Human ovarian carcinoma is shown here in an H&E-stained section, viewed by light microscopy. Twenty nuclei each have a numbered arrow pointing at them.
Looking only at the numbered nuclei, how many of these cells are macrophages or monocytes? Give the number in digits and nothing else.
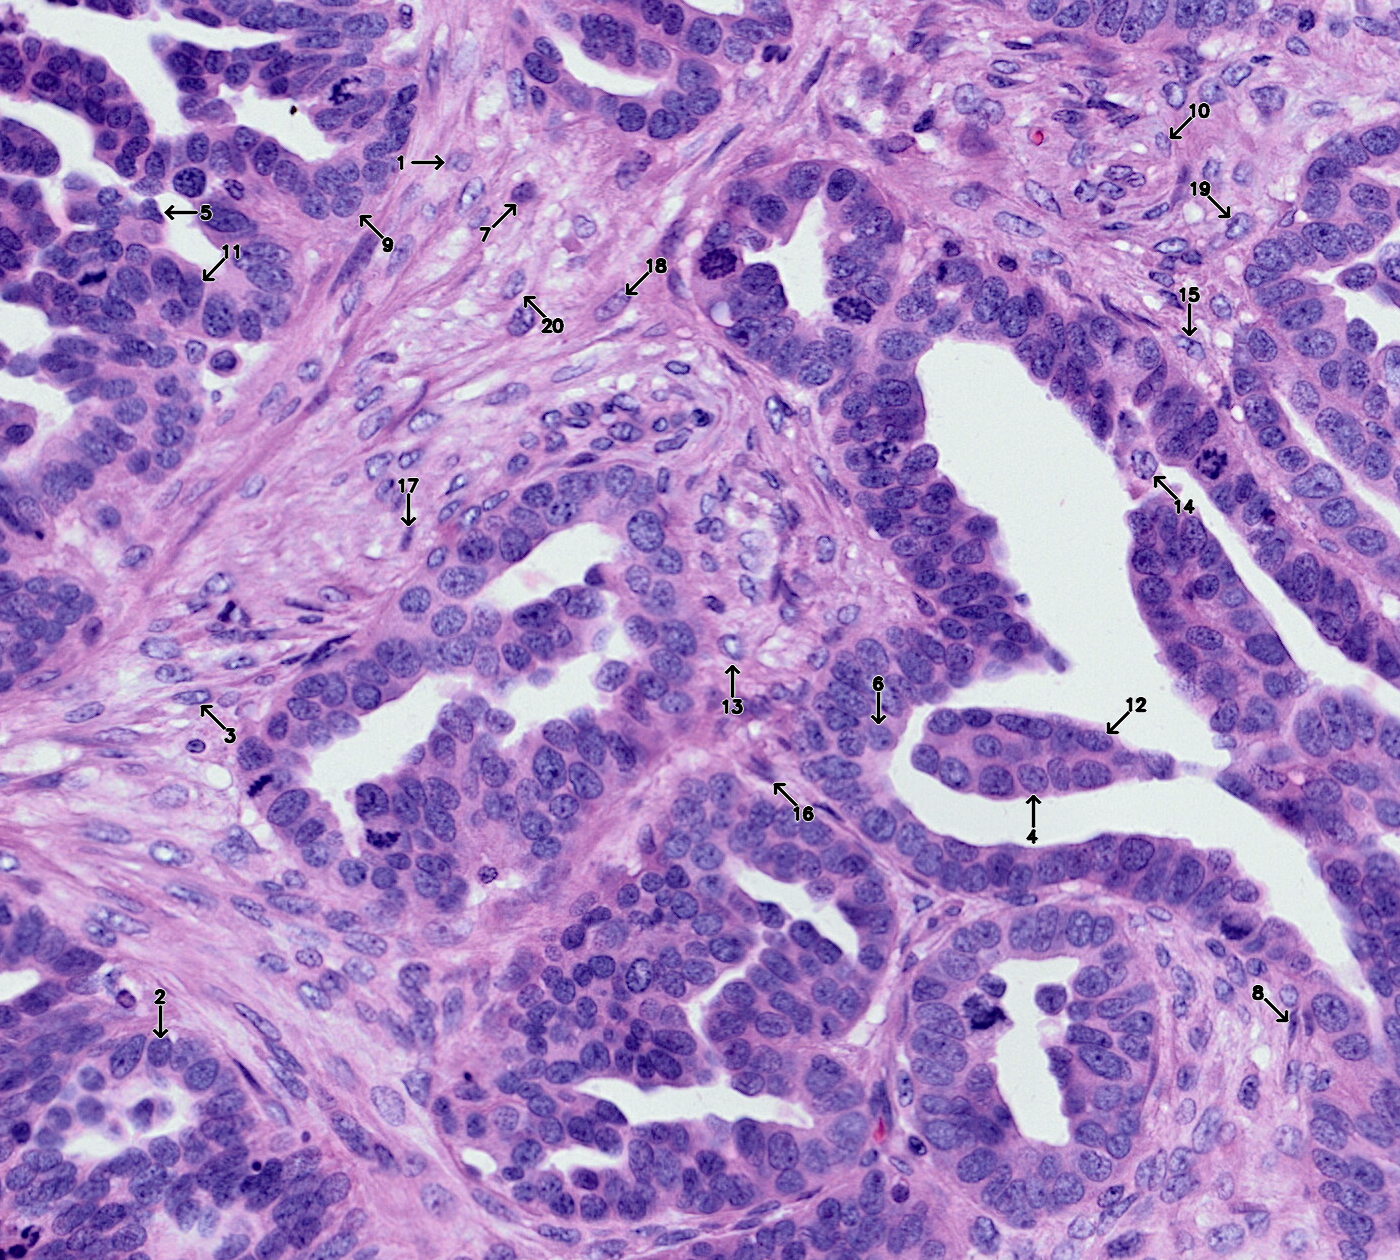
2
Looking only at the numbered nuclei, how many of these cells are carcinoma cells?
7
